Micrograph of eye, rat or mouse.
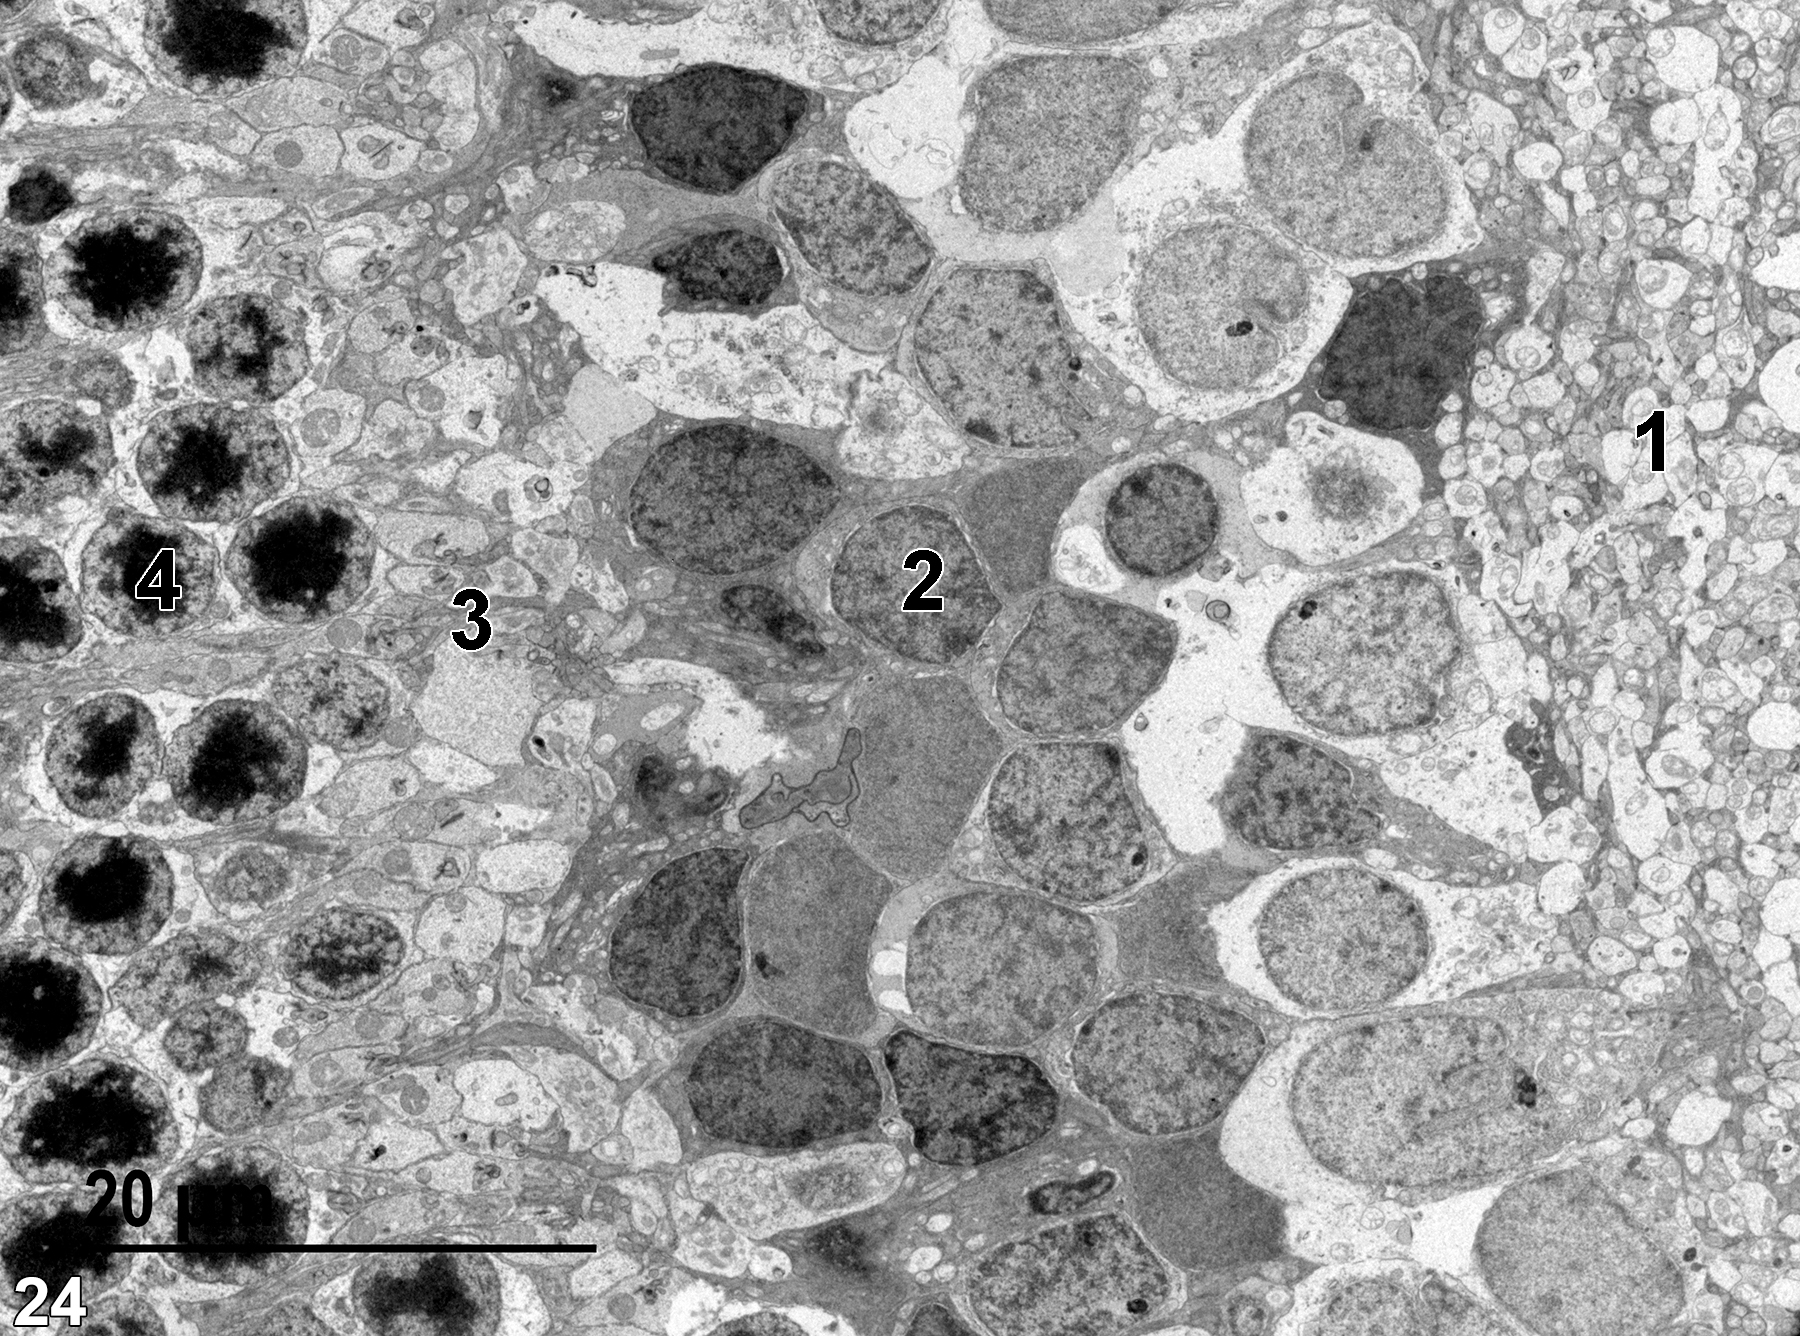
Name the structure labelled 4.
Outer nuclear layer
